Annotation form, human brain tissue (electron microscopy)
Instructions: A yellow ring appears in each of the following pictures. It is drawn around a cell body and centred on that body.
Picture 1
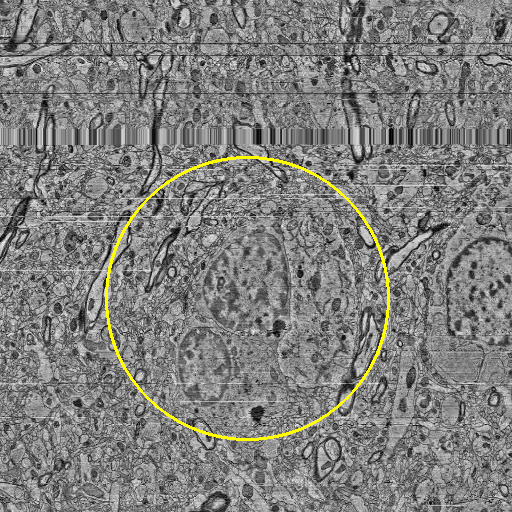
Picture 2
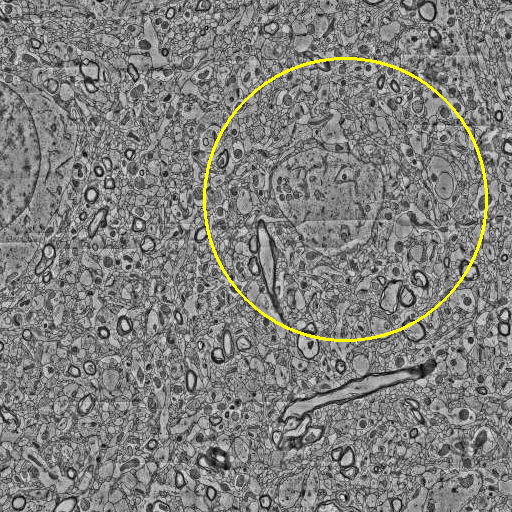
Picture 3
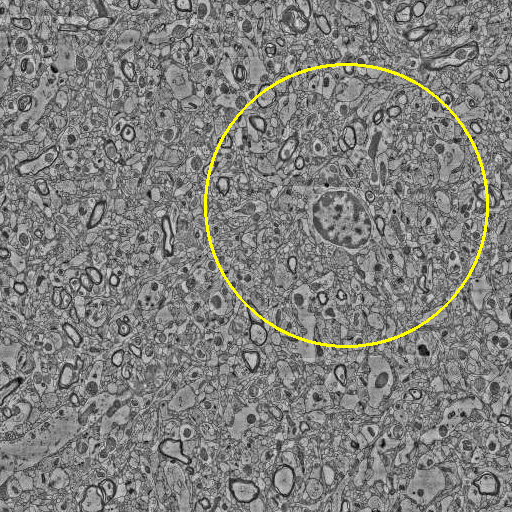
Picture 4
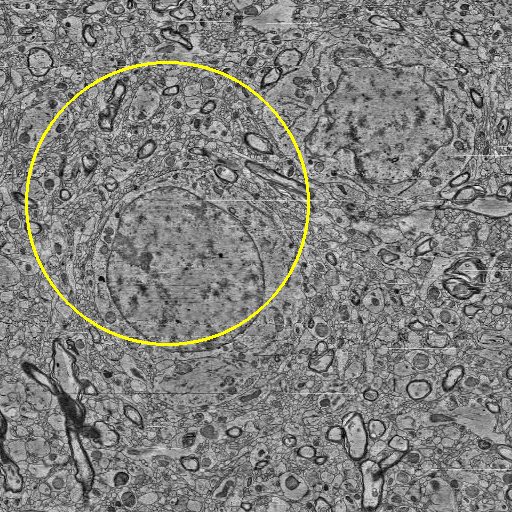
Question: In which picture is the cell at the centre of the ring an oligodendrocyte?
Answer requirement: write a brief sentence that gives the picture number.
The cell at the centre of the ring in Picture 1 is the one asked for.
